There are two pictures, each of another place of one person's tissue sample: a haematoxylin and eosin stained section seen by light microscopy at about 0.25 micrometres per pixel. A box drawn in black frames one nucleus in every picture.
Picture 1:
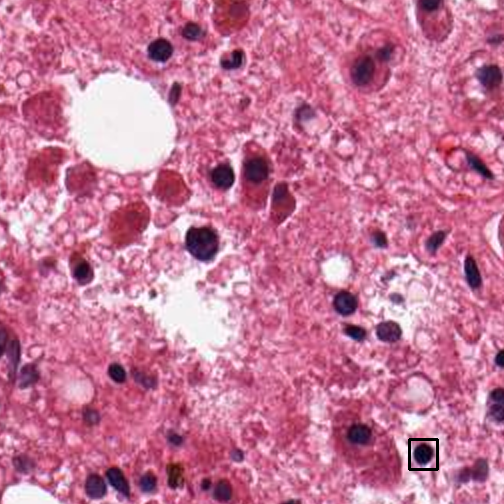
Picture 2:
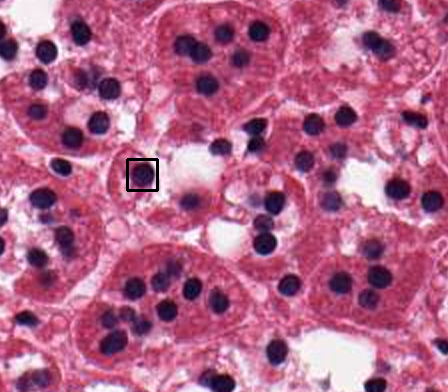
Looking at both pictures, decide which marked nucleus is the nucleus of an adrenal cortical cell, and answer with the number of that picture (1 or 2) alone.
2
